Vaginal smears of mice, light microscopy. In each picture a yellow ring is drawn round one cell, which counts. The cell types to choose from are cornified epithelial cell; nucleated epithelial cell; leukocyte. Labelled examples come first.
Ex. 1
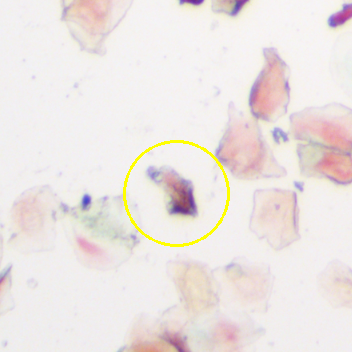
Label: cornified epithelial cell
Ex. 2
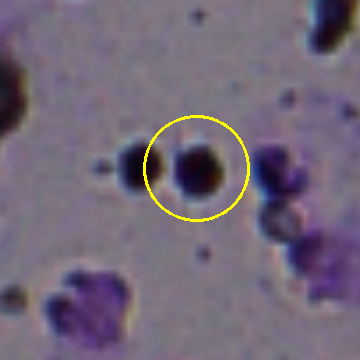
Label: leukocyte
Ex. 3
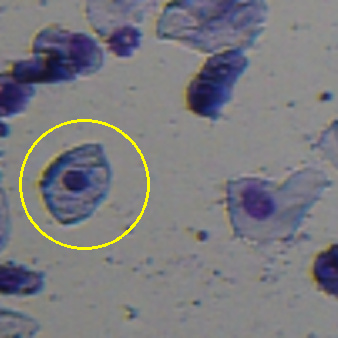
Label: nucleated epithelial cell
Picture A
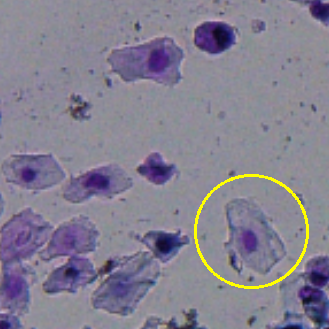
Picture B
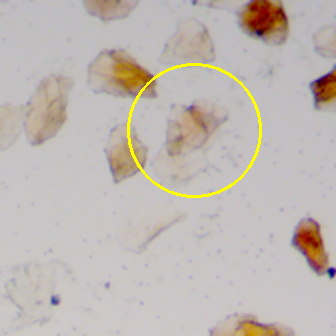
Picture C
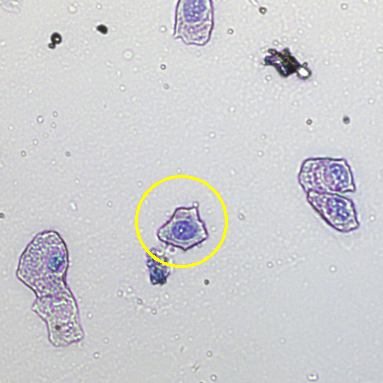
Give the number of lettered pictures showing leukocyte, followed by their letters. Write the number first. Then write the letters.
0, none of them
